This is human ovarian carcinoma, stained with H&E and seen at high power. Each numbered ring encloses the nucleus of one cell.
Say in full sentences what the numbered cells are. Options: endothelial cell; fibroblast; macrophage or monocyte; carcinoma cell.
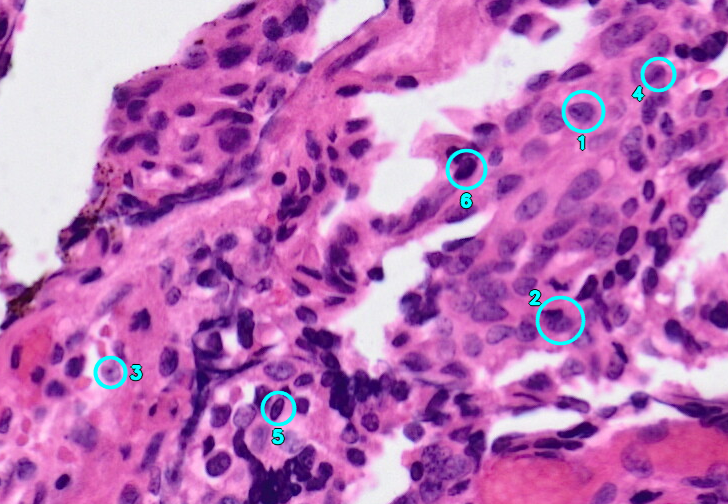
Cell 1 is a macrophage or monocyte, cell 2 is a carcinoma cell, cell 3 is a macrophage or monocyte, cell 4 is a carcinoma cell, cell 5 is a macrophage or monocyte and cell 6 is a carcinoma cell.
